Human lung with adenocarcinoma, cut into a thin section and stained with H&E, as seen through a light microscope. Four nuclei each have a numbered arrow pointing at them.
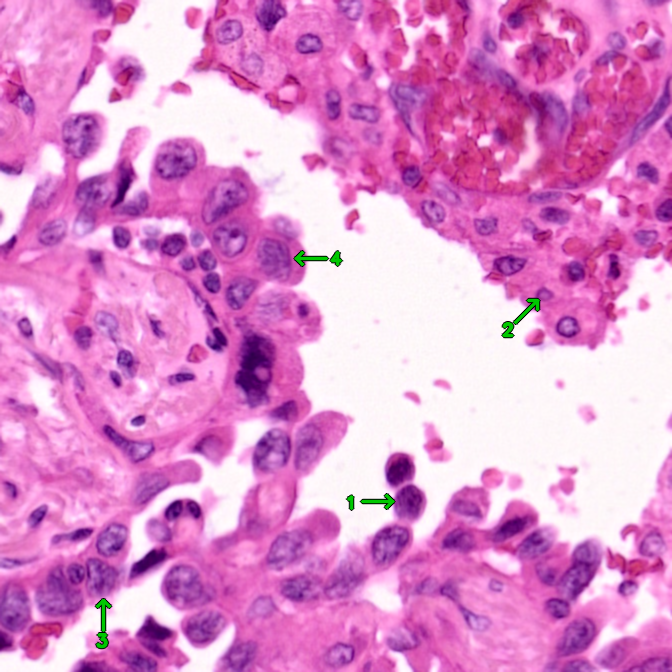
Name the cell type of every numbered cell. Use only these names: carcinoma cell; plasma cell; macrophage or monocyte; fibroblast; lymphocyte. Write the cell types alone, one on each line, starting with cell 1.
carcinoma cell
macrophage or monocyte
carcinoma cell
carcinoma cell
